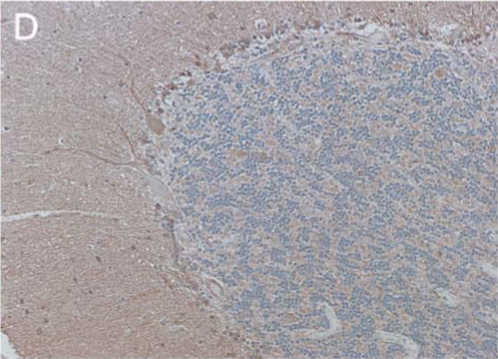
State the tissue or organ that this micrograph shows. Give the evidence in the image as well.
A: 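A row of larger cell bodies lies along the border between the two layers. The border between the layers is curved, like a folium.
Cerebellar.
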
